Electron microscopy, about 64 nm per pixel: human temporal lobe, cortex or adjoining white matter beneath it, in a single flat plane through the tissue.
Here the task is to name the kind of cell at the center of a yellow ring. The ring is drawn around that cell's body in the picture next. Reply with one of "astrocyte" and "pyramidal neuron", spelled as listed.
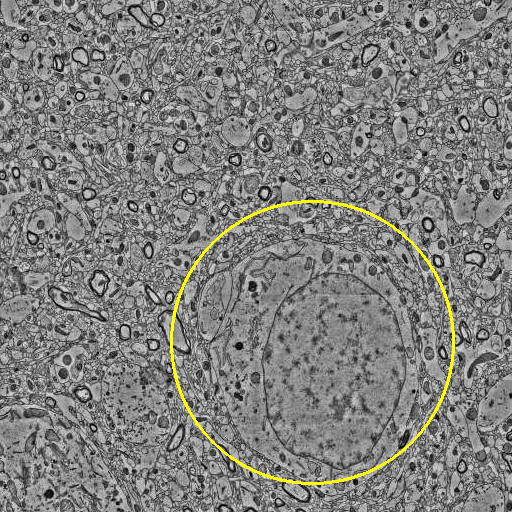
pyramidal neuron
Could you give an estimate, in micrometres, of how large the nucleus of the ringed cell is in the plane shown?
Approximately 12 x 9 micrometres in this plane.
